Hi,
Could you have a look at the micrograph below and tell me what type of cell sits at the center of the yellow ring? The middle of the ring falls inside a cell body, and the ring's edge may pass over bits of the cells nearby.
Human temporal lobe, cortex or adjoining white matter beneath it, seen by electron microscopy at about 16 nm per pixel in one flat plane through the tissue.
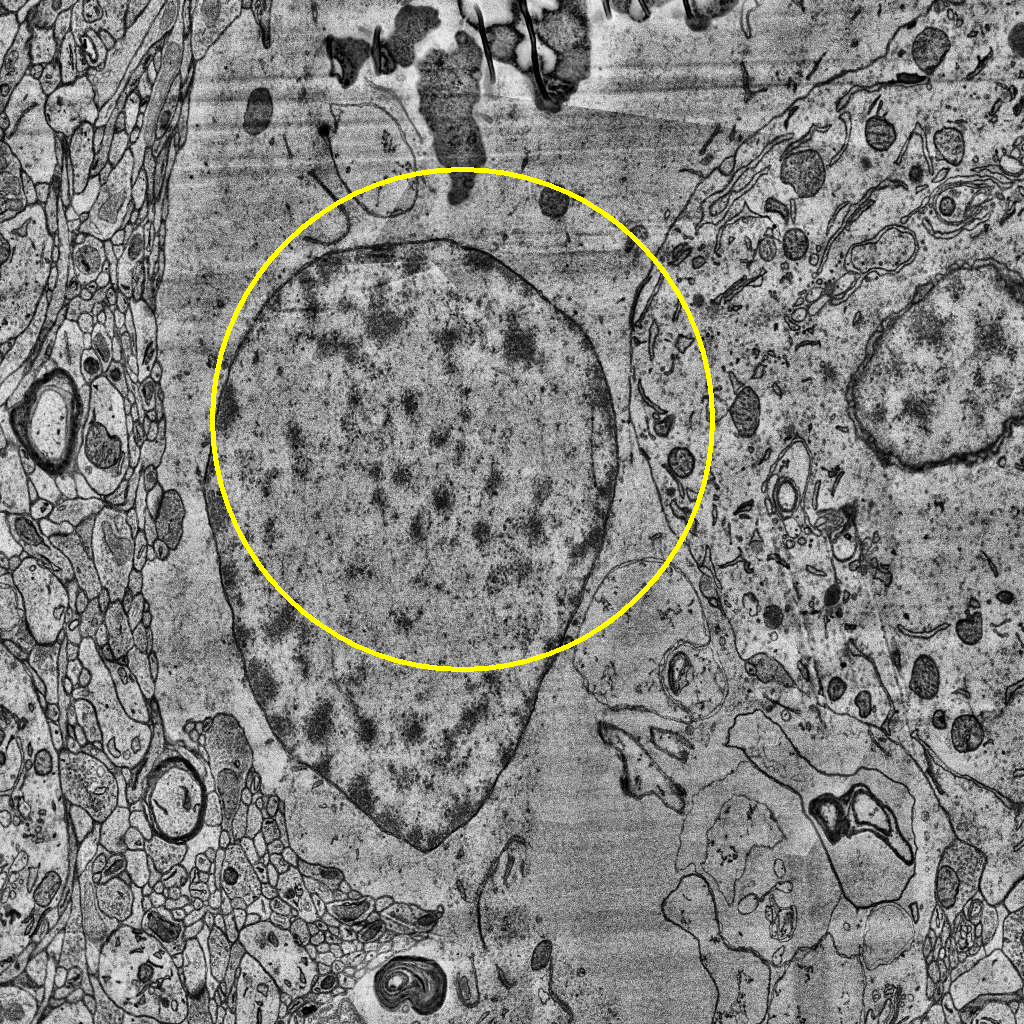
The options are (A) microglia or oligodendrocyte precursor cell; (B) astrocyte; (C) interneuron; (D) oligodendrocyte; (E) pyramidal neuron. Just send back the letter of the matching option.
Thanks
B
